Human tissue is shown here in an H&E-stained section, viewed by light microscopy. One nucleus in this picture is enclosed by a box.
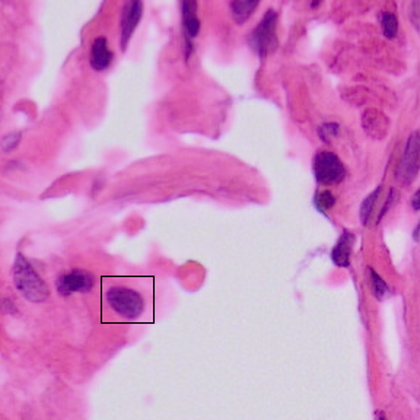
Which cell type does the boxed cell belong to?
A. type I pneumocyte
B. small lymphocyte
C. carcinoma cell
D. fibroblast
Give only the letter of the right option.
A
